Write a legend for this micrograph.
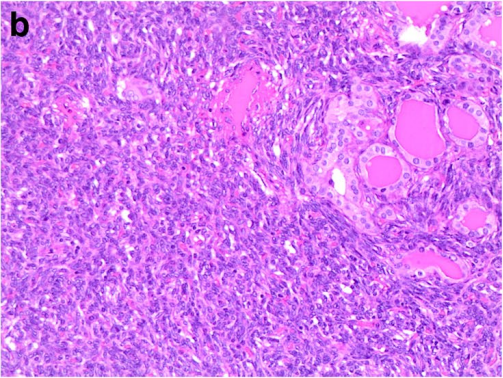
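This section shows a densely cellular spindle cell tumor lying next to residual thyroid tissue. Most of the field is occupied by crowded spindle cells with oval to elongated purple nuclei, arranged in short intersecting bundles with little intervening stroma. At the upper right are thyroid follicles lined by cuboidal epithelial cells with round nuclei, each holding homogeneous pink colloid. Some pink hyaline material also lies among the tumor cells near the follicles. The contrast between the orderly follicles and the patternless spindle cell sheet marks the edge of the tumor.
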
